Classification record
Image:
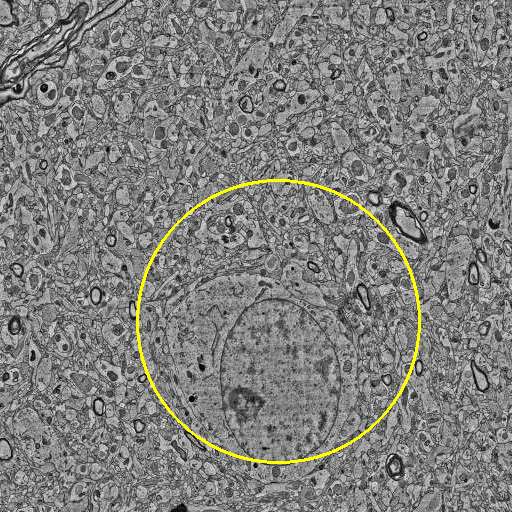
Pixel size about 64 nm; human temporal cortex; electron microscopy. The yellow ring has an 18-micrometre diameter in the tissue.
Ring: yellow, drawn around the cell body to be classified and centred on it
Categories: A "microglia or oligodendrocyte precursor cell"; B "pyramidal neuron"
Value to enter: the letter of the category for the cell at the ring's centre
B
